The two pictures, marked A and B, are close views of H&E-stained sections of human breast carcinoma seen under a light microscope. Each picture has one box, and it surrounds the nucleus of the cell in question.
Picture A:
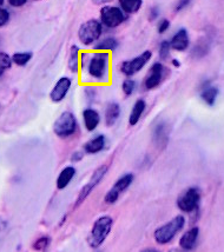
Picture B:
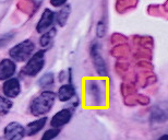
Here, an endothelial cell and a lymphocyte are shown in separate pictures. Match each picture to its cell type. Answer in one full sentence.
In picture A the cell is a lymphocyte; in picture B, an endothelial cell.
